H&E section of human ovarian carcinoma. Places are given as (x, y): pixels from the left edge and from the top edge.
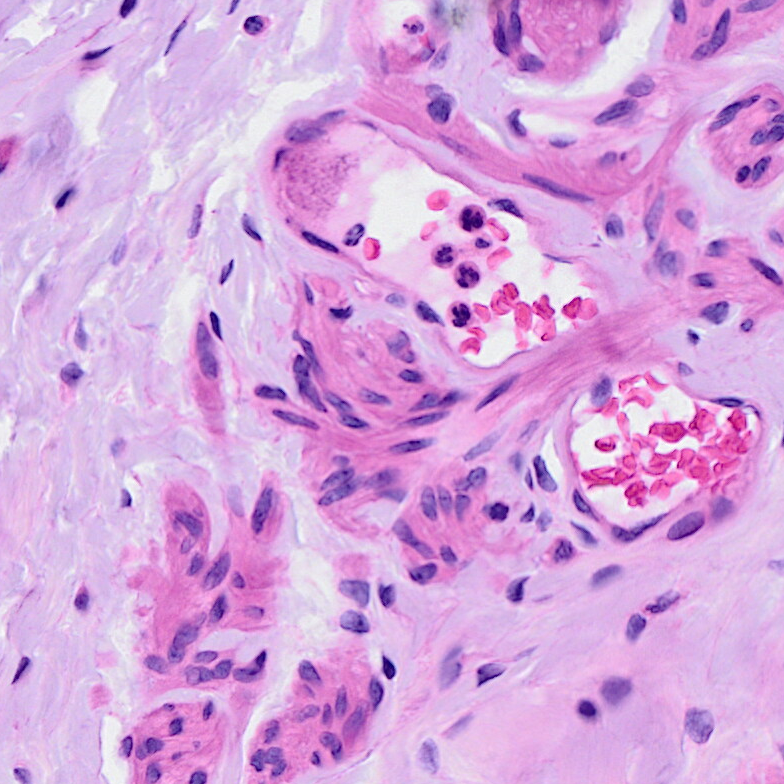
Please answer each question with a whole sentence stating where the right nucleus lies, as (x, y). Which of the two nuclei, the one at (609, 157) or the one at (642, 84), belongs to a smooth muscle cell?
The nucleus of a smooth muscle cell lies at (609, 157), not at the other position.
